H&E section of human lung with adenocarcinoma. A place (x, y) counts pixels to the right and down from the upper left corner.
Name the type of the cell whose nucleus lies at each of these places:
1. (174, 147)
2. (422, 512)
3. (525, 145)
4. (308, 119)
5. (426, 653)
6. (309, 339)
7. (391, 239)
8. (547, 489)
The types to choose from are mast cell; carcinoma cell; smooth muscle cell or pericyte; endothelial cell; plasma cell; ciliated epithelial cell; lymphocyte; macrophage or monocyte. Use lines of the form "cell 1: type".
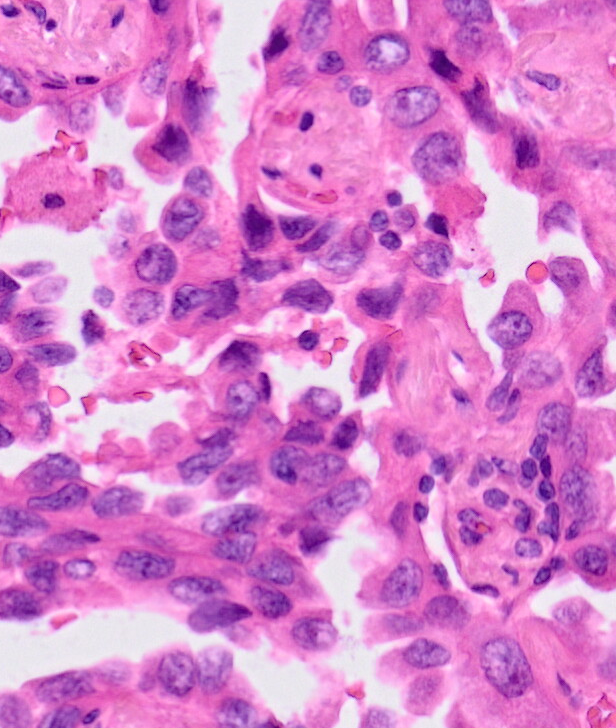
cell 1: carcinoma cell
cell 2: lymphocyte
cell 3: carcinoma cell
cell 4: lymphocyte
cell 5: carcinoma cell
cell 6: lymphocyte
cell 7: lymphocyte
cell 8: lymphocyte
